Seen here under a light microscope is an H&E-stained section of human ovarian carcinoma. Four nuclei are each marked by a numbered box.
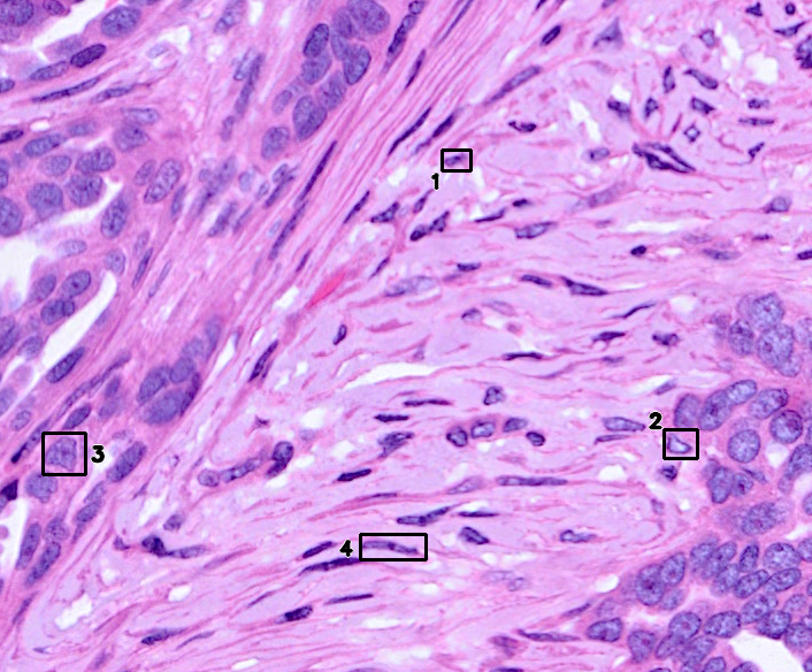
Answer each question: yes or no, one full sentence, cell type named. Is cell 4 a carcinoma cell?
No, it is a fibroblast, not a carcinoma cell, that number 4 marks.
